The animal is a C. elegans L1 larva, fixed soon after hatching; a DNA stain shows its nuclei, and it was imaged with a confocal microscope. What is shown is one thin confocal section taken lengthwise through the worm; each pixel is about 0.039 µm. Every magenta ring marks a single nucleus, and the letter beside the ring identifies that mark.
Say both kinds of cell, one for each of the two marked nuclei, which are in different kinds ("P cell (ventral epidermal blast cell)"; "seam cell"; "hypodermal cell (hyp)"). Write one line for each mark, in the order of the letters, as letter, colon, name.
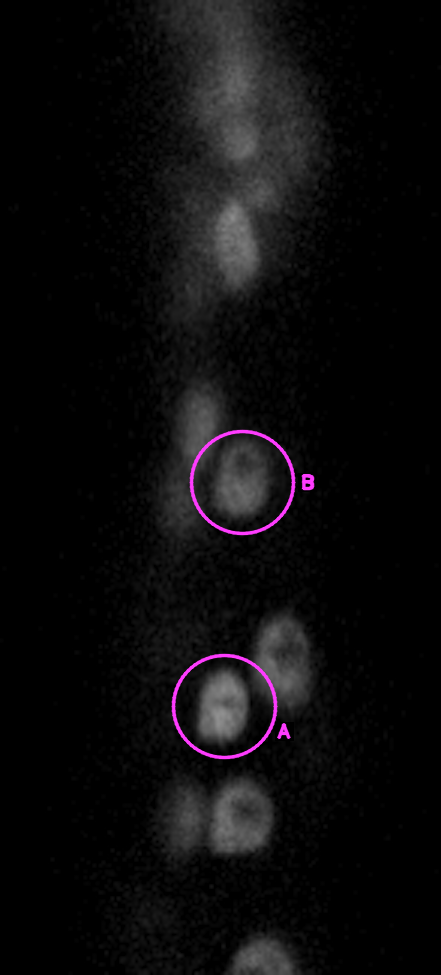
A: P cell (ventral epidermal blast cell)
B: seam cell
